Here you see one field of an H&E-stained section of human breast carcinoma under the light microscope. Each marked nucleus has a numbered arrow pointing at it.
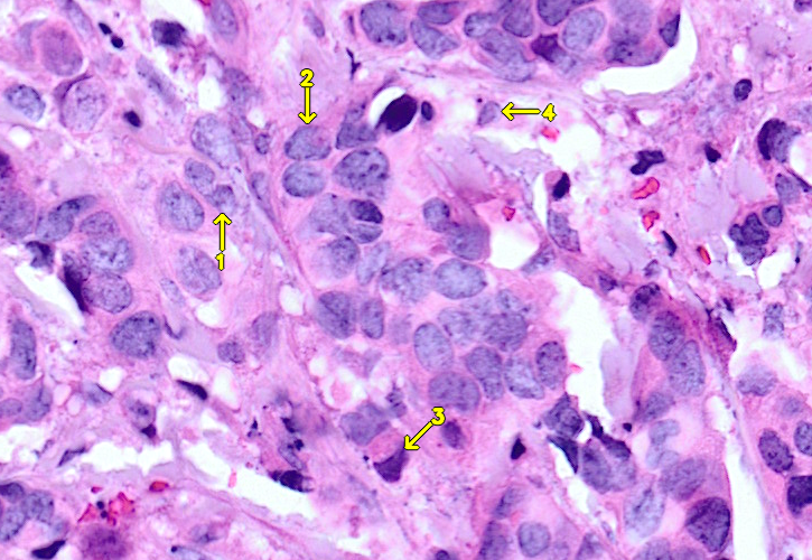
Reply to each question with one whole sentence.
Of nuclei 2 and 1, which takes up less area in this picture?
Nucleus 1 is the smaller one; nucleus 2 covers about 1.5 times its area.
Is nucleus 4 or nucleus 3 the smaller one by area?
The smaller nucleus is 4, and 3 covers roughly 2 times its area.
